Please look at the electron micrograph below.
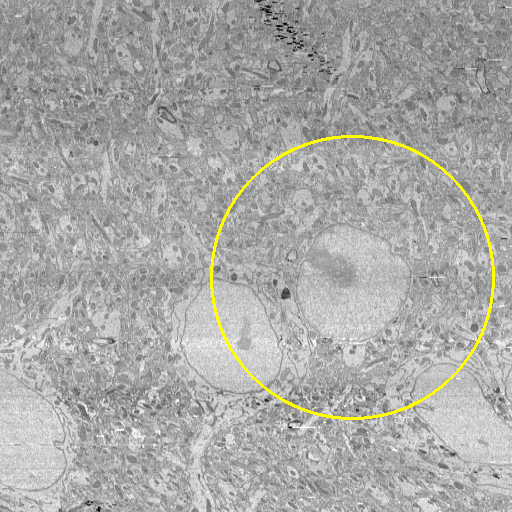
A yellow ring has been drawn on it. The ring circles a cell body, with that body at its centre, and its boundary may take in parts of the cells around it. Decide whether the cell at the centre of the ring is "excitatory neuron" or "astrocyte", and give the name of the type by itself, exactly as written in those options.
astrocyte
